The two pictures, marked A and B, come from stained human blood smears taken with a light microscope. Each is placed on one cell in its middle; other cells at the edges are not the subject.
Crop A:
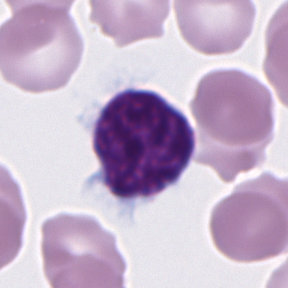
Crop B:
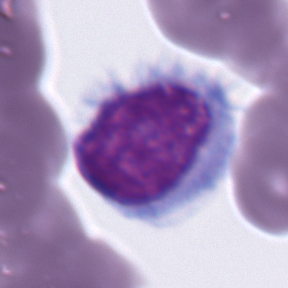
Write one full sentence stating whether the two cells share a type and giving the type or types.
Yes, hairy cells are present at the centre of both crops.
